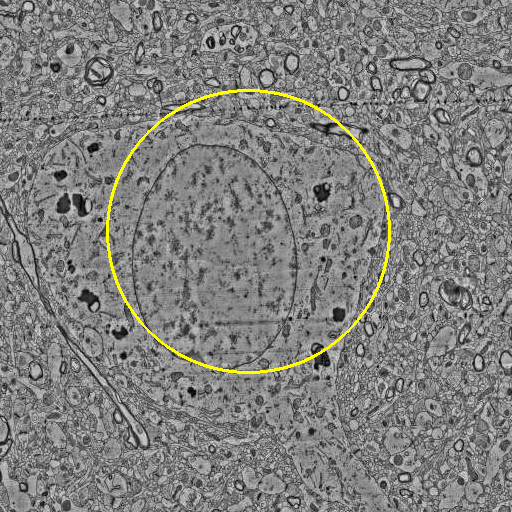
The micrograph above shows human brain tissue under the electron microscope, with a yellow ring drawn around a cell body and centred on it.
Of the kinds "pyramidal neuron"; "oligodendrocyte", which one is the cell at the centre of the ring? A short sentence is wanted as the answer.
The one at the centre of the ring is a pyramidal neuron.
